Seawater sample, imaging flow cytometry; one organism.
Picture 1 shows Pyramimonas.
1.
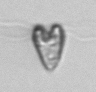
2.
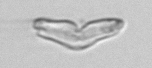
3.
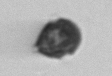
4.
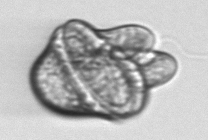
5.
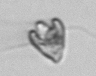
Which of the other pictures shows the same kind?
Picture 5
